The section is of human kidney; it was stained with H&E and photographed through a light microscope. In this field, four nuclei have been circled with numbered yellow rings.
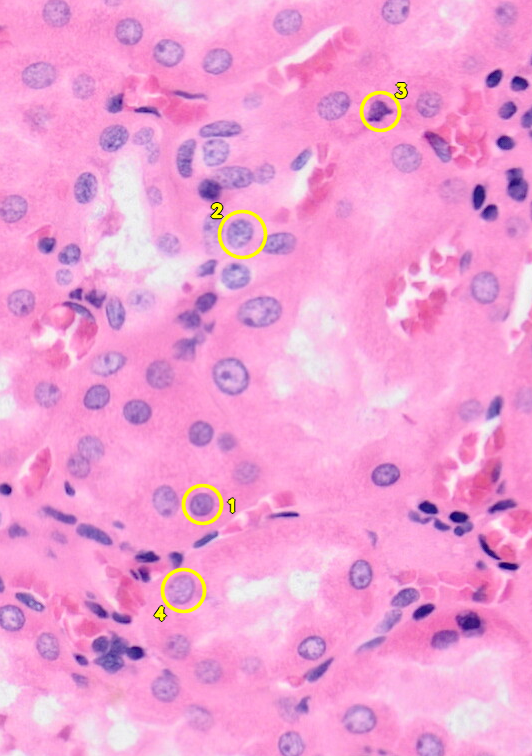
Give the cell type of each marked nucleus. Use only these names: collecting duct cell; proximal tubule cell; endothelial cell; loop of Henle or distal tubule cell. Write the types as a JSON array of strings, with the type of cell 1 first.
["proximal tubule cell", "collecting duct cell", "proximal tubule cell", "proximal tubule cell"]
